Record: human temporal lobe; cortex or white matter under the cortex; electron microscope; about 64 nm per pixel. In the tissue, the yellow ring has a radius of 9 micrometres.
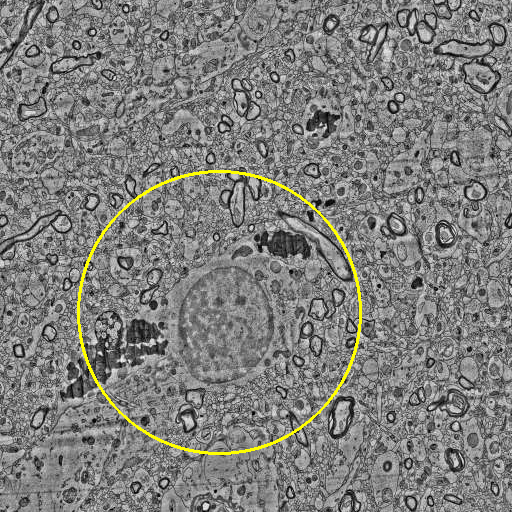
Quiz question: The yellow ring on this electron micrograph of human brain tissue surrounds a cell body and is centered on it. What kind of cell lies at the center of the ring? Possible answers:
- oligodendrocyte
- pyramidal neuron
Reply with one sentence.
The ring's center lies on an oligodendrocyte.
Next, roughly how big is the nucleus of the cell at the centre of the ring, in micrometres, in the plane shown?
The ringed cell's nucleus measures approximately 8 by 6 micrometres in this plane.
